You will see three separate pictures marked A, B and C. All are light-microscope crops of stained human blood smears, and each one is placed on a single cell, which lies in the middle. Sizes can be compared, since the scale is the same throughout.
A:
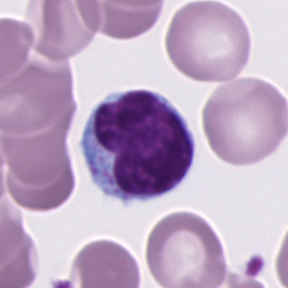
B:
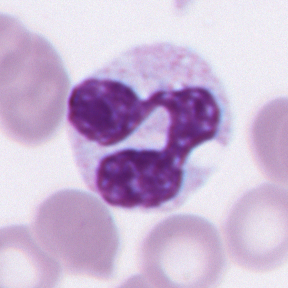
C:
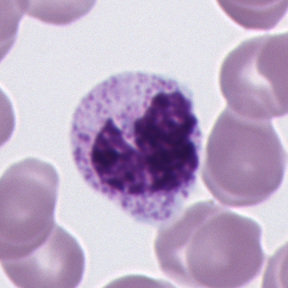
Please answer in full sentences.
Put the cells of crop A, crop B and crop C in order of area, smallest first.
Smallest first: A, C, B.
